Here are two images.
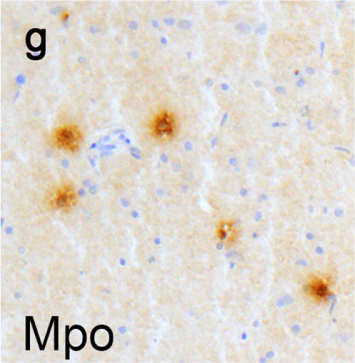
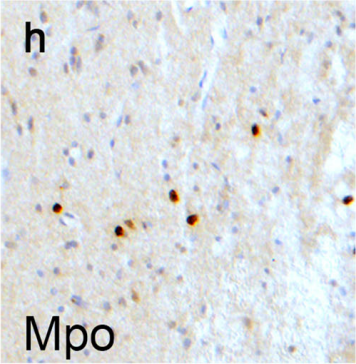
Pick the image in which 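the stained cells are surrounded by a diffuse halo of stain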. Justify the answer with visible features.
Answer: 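Second image: small dark brown cells with sharp edges and no surrounding stain. First image: brown cells each surrounded by a blurred brown zone fading into the tissue.
Hence: the first image.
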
